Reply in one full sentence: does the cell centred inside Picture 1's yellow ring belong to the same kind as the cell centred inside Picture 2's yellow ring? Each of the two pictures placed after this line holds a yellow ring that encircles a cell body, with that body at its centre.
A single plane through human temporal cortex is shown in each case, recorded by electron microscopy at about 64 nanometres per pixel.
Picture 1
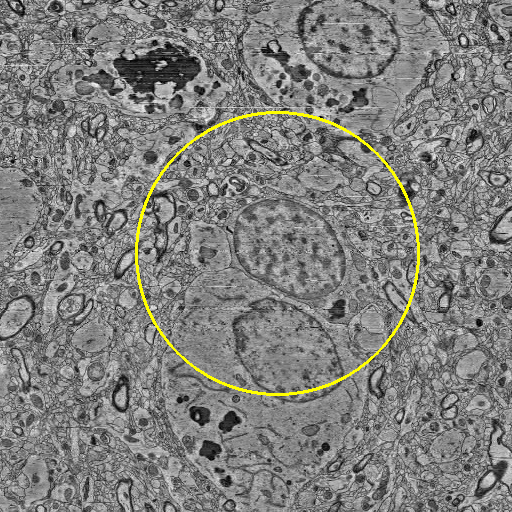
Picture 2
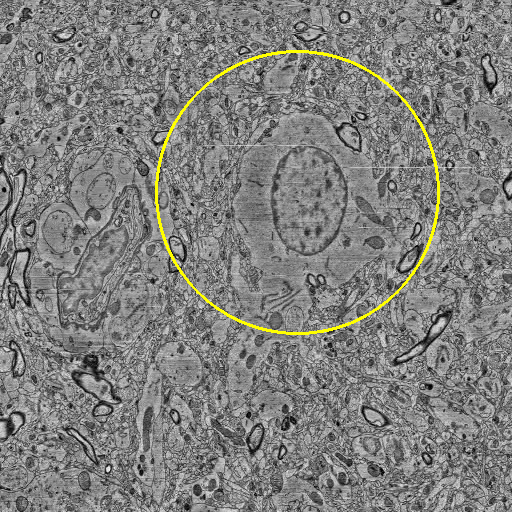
No, the ring-centred cells in Picture 1 and Picture 2 are of two separate kinds.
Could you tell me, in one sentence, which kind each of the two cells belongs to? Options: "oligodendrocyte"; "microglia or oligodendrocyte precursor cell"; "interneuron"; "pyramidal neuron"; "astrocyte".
At the centre of the first ring sits an oligodendrocyte, and at the centre of the second sits an astrocyte.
